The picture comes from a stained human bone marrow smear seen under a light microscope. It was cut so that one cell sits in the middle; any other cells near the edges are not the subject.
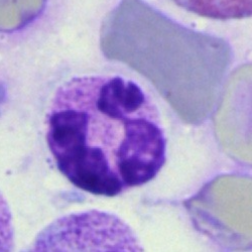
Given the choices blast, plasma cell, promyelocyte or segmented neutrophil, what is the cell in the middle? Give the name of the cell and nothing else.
segmented neutrophil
